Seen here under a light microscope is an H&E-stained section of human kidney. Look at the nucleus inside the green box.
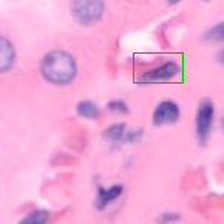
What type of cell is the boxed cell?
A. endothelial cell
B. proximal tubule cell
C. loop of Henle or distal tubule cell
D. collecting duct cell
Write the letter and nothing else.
A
